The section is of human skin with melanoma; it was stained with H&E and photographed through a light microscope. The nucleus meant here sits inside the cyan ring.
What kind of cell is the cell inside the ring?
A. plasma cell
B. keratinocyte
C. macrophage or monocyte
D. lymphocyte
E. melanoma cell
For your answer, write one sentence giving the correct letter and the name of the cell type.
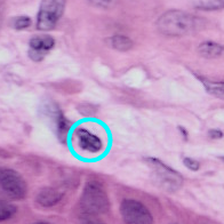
It is as option D has it, the cell inside the ring being a lymphocyte.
